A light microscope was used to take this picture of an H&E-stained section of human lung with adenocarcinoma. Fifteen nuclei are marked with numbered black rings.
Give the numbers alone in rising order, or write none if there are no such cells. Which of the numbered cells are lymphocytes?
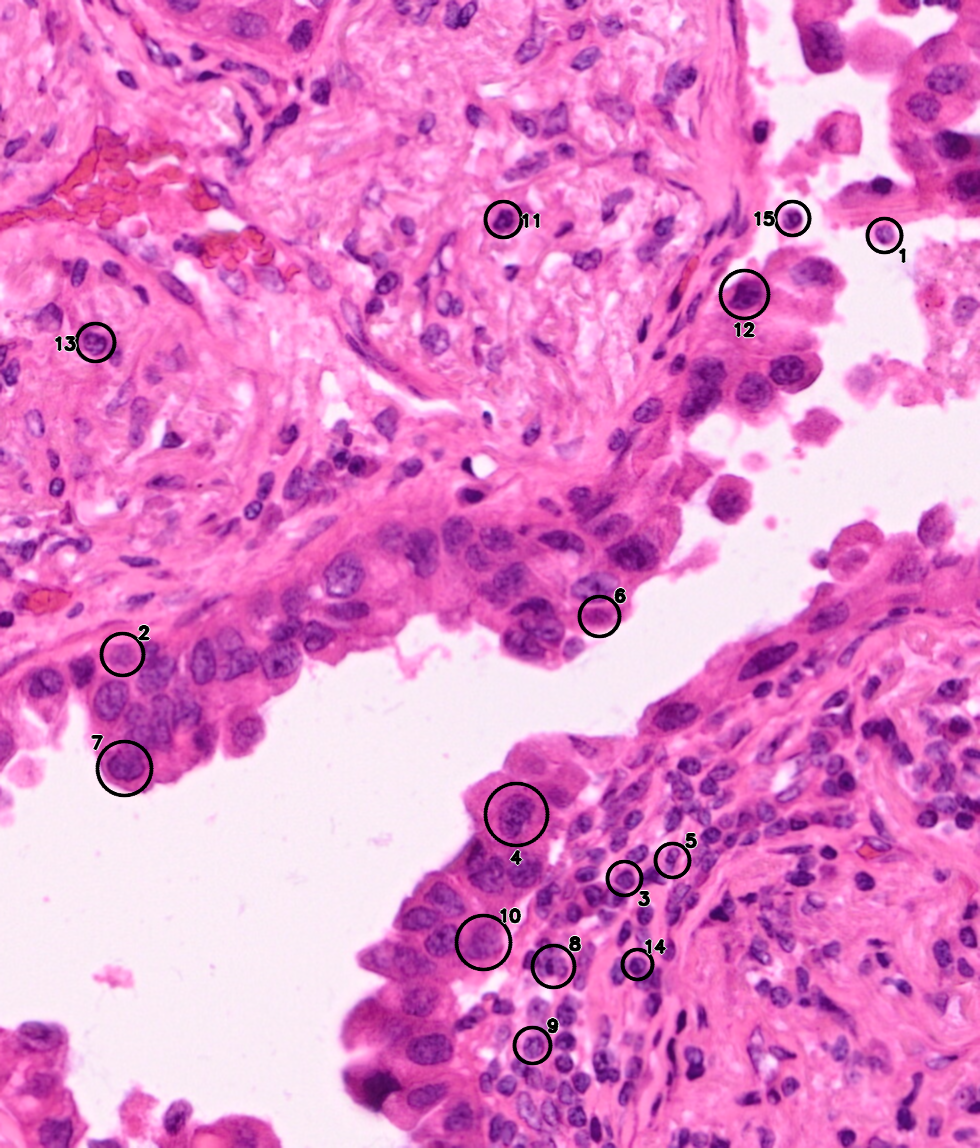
1, 3, 5, 8, 9, 14, 15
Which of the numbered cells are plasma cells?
11, 13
